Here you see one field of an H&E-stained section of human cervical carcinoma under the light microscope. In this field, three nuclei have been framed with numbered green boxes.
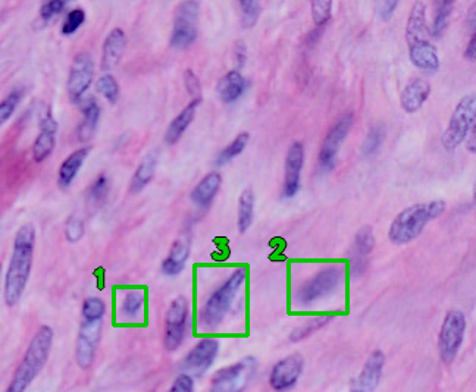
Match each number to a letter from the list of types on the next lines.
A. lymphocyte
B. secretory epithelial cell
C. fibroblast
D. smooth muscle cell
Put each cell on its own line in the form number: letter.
1: D
2: C
3: C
